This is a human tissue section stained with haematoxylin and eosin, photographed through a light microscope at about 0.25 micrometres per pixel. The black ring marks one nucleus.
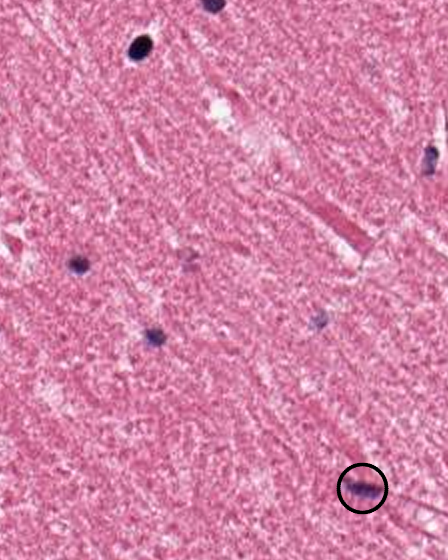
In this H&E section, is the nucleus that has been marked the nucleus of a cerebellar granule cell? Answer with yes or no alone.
no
